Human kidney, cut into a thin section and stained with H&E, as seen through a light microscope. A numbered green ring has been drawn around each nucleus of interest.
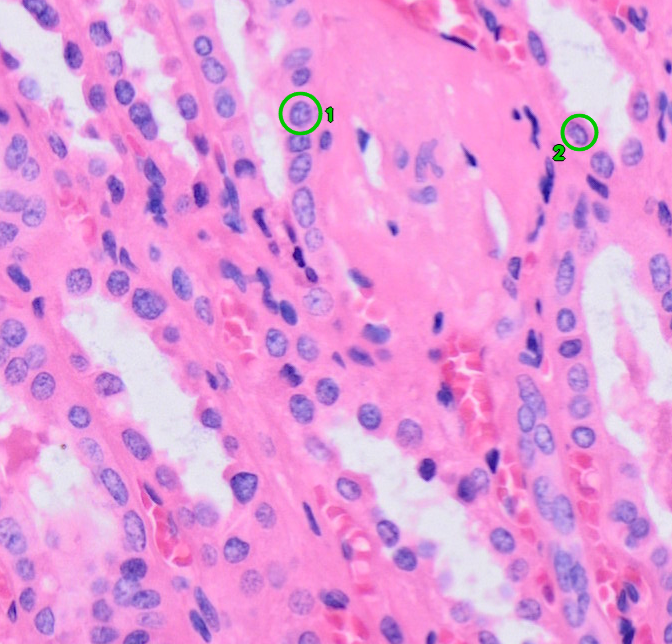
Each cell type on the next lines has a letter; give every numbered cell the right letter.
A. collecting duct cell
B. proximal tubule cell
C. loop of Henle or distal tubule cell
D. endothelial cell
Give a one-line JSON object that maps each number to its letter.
{"1": "A", "2": "C"}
